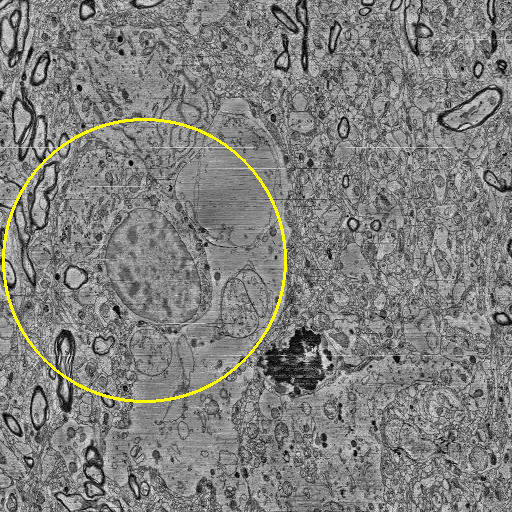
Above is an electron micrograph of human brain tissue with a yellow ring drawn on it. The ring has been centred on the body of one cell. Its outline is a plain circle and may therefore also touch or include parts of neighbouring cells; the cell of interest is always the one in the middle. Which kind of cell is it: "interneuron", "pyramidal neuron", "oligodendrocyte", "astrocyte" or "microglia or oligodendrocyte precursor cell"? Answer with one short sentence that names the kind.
The ring's central cell body is that of an oligodendrocyte.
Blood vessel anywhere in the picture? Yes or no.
Yes.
